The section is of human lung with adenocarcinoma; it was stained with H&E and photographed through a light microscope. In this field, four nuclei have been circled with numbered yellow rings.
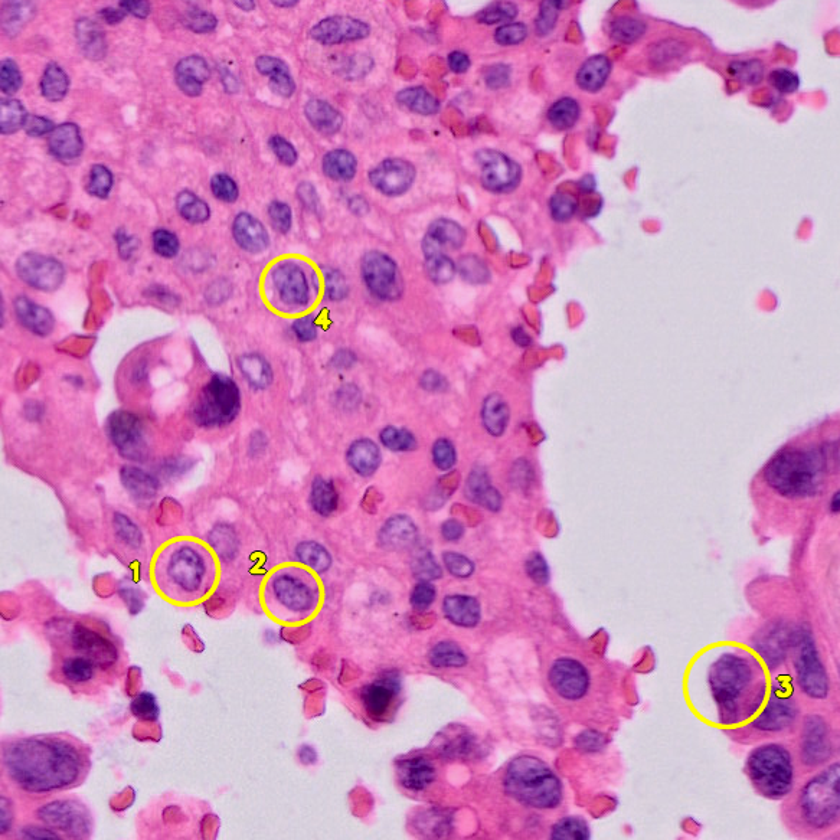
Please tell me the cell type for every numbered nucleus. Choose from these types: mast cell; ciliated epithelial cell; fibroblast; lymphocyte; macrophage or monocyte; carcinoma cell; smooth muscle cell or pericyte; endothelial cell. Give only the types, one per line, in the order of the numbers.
macrophage or monocyte
macrophage or monocyte
carcinoma cell
macrophage or monocyte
